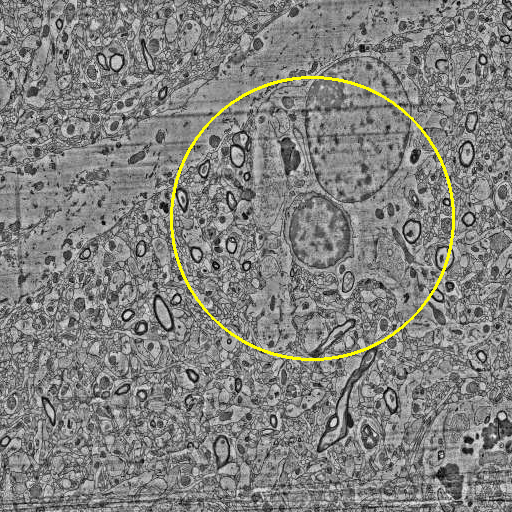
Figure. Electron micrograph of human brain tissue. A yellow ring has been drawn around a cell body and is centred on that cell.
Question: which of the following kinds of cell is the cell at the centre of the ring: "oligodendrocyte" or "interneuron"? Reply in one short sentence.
The cell at the centre of the ring is an oligodendrocyte.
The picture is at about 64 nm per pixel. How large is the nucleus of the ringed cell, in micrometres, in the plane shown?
Roughly 5 by 4 micrometres is the size of the nucleus in this plane.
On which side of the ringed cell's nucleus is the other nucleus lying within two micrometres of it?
The other one lies above it.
